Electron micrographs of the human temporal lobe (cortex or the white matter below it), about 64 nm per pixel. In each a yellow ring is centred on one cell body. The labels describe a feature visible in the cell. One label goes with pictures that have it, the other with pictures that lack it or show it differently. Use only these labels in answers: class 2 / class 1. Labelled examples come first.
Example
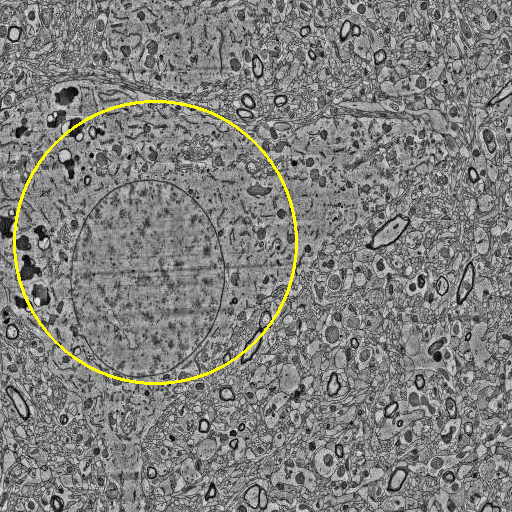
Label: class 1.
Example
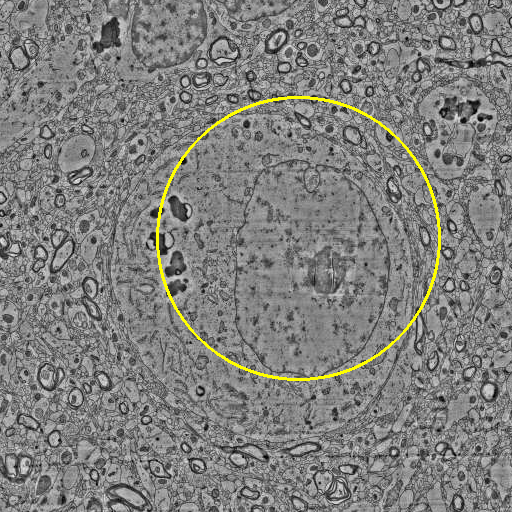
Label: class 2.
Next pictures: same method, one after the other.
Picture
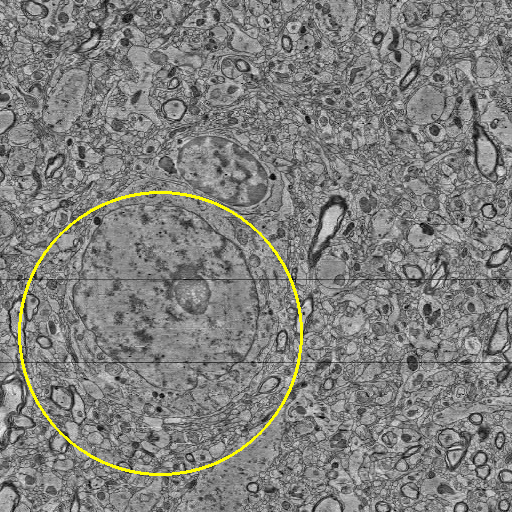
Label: class 2.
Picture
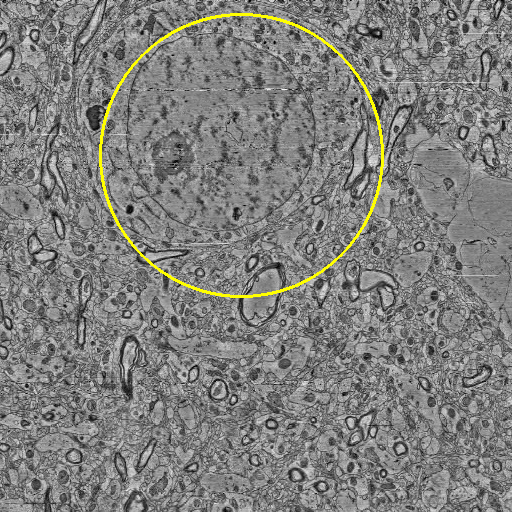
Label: class 2.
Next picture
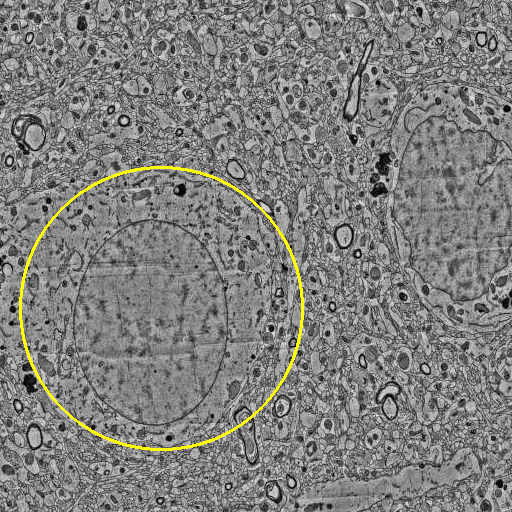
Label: class 1.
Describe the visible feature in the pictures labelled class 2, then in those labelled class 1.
class 2, nucleolus seen; class 1, no nucleolus seen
